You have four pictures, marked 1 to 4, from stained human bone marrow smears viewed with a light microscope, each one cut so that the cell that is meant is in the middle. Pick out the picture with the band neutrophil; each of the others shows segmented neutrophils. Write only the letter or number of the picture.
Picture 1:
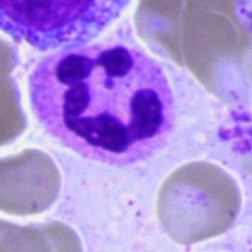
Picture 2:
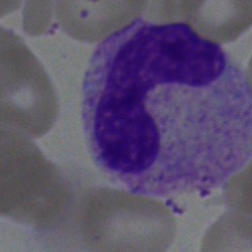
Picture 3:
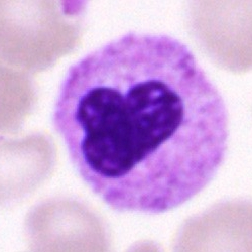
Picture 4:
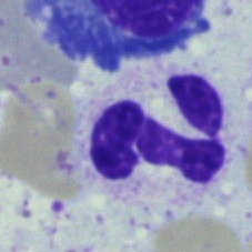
2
